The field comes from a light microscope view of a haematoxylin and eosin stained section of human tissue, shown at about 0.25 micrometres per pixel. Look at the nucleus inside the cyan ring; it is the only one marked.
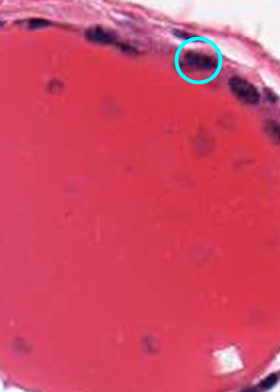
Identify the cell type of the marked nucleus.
thyroid follicular cell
